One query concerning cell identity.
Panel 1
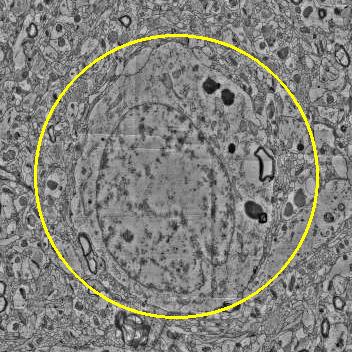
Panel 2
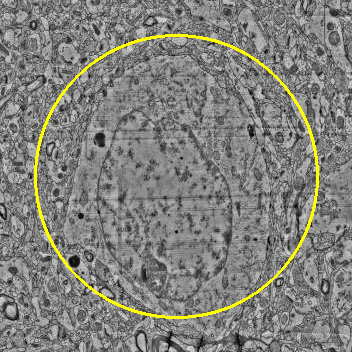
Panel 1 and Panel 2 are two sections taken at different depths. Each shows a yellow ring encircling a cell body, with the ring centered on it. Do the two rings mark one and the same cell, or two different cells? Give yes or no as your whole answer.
yes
